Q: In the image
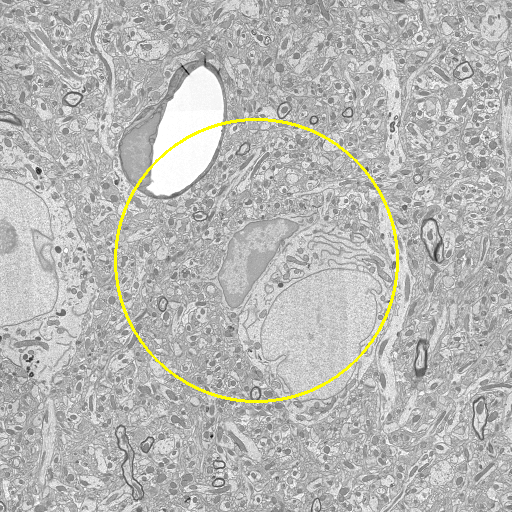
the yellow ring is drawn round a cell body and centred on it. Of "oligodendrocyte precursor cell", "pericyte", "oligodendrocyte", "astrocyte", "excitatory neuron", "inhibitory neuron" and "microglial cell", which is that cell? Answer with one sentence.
The cell centred in the ring is a microglial cell.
